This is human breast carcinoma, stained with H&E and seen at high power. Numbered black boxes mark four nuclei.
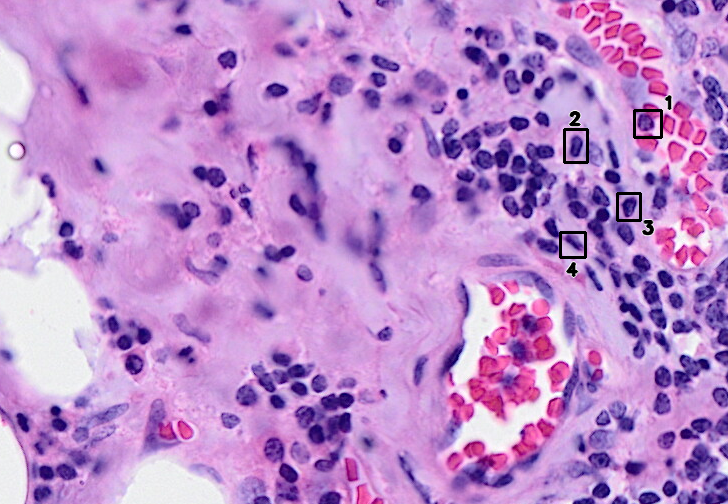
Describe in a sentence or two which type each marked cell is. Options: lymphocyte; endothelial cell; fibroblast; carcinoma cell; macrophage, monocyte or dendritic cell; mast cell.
Cell 1 is an endothelial cell. Cells 2, 3 and 4 are lymphocytes.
